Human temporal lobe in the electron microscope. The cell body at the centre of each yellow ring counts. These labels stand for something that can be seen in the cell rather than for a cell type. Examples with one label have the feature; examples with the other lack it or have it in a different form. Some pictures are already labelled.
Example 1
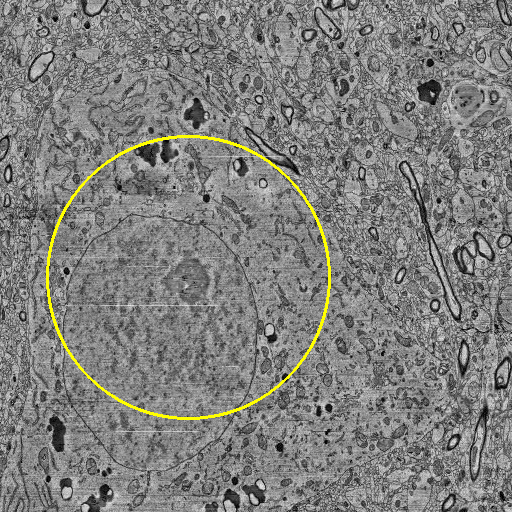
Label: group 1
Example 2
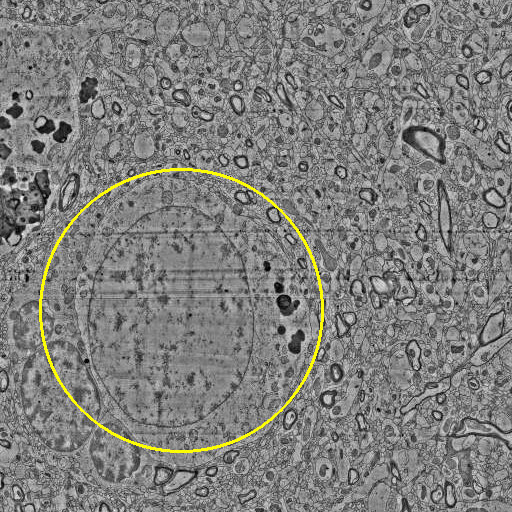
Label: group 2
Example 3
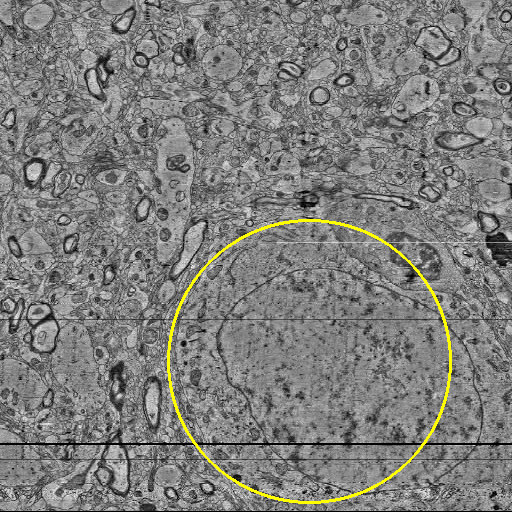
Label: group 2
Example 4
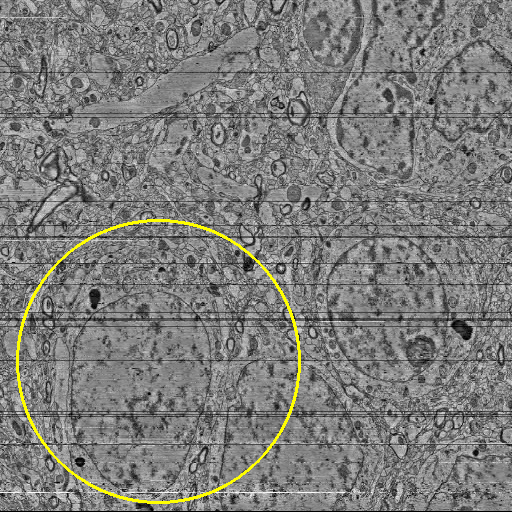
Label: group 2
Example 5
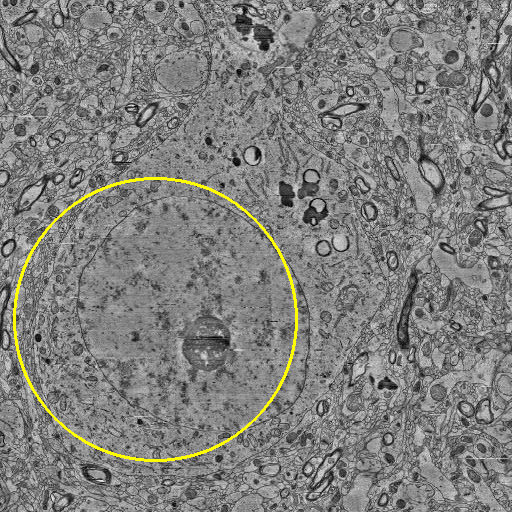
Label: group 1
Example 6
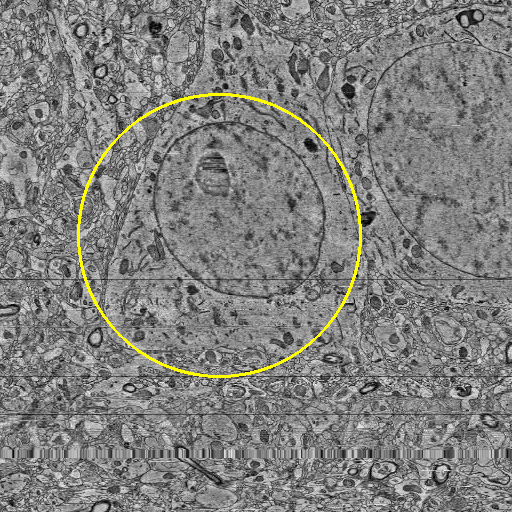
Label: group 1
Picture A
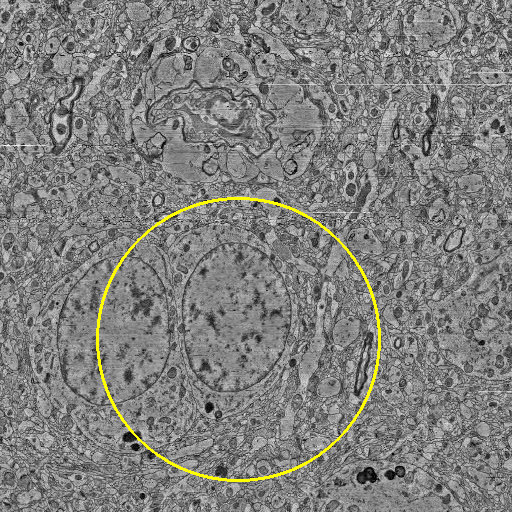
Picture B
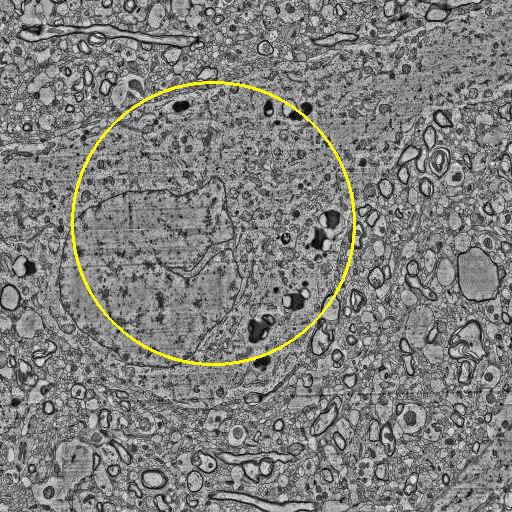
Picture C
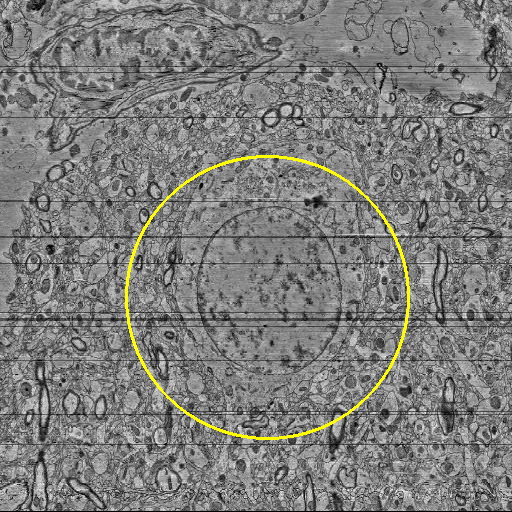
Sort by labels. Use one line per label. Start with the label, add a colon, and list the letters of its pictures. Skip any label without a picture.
group 2: A, B, C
